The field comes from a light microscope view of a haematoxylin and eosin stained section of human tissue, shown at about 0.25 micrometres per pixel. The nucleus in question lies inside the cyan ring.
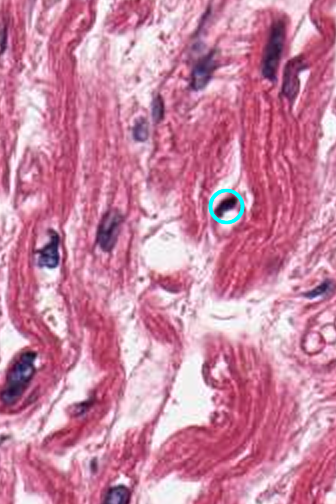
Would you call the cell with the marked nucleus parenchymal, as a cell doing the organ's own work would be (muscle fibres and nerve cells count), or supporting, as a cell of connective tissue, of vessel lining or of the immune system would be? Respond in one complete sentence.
The marked nucleus is found in a supporting cell.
